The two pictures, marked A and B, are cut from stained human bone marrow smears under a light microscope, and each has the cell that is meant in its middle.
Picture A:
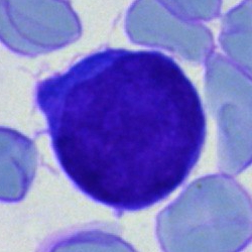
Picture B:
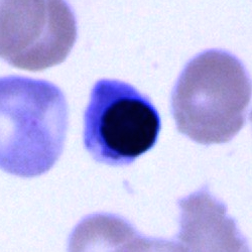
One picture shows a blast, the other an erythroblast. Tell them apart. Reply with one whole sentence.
Picture A is of a blast, and picture B is of an erythroblast.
